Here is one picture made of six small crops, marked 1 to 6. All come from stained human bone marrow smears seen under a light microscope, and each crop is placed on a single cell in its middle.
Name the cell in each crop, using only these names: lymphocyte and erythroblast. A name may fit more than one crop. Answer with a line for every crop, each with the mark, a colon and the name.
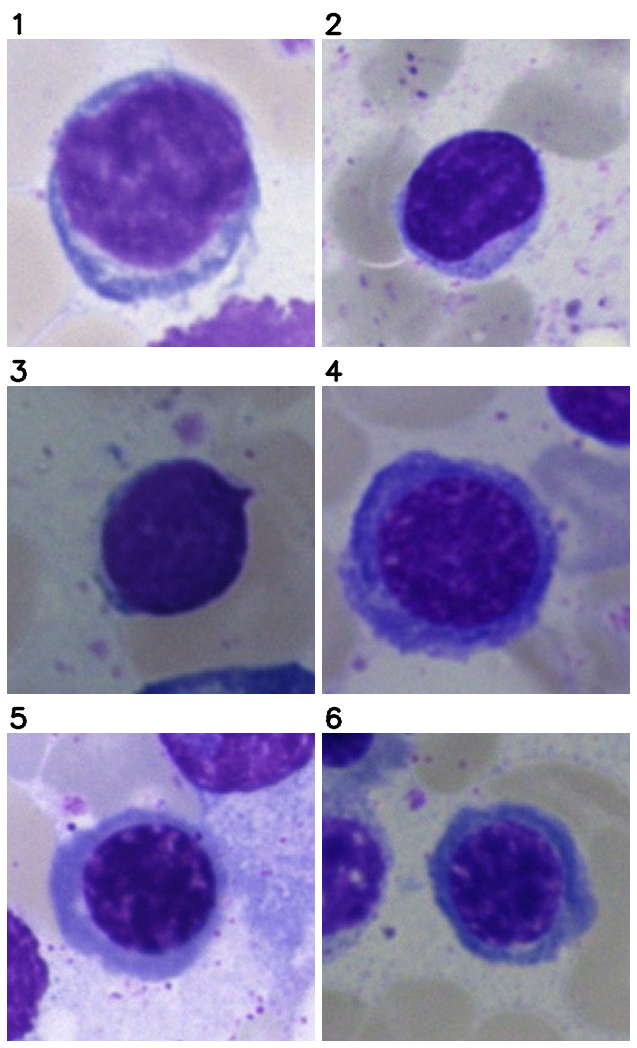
1: lymphocyte
2: lymphocyte
3: lymphocyte
4: erythroblast
5: erythroblast
6: erythroblast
